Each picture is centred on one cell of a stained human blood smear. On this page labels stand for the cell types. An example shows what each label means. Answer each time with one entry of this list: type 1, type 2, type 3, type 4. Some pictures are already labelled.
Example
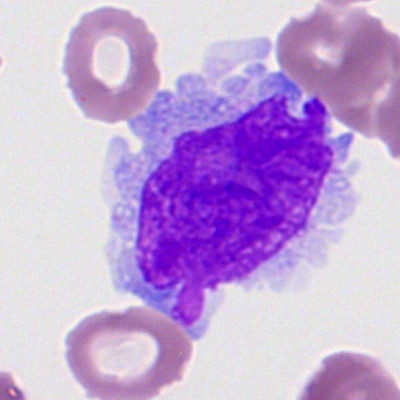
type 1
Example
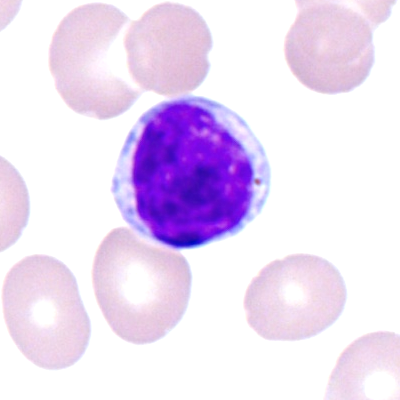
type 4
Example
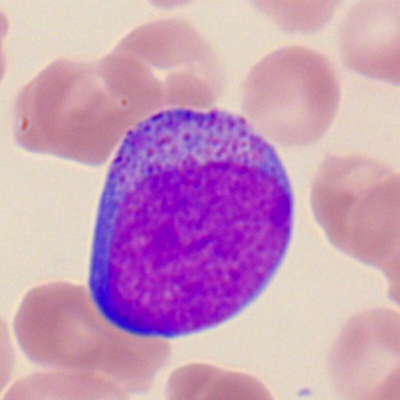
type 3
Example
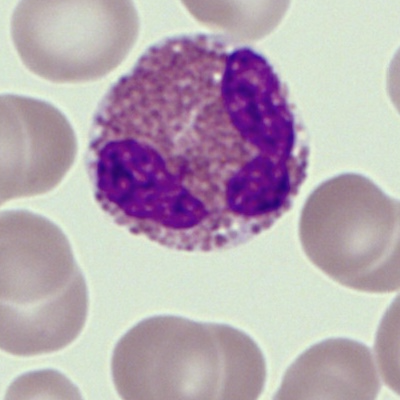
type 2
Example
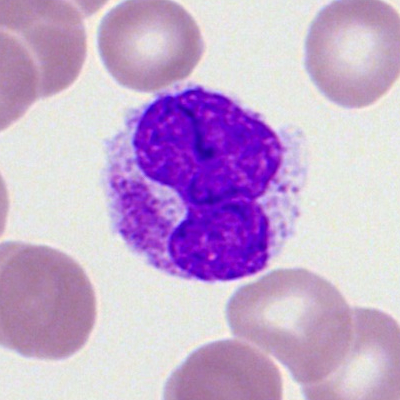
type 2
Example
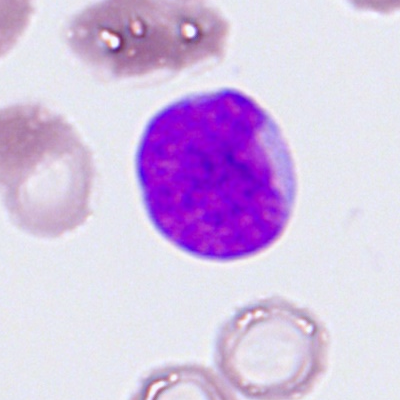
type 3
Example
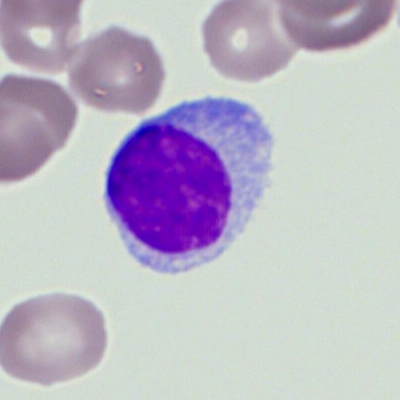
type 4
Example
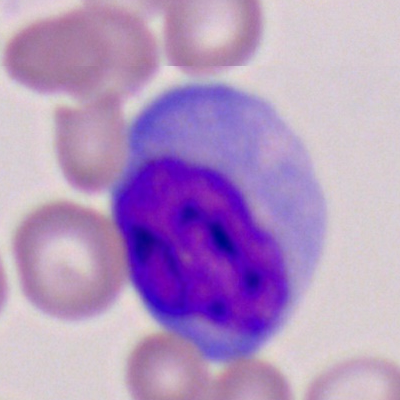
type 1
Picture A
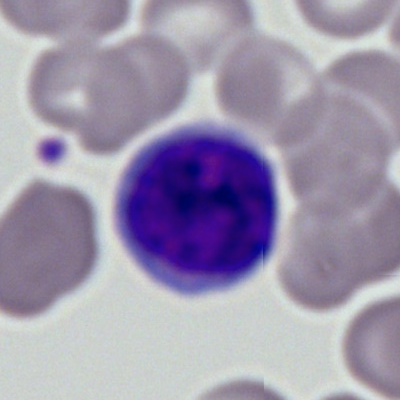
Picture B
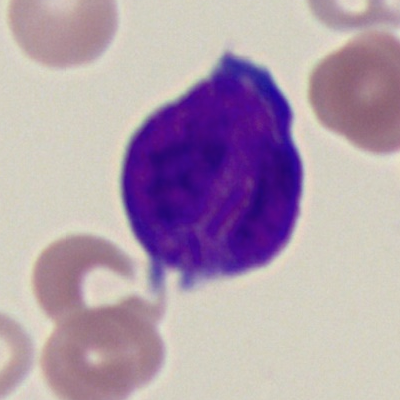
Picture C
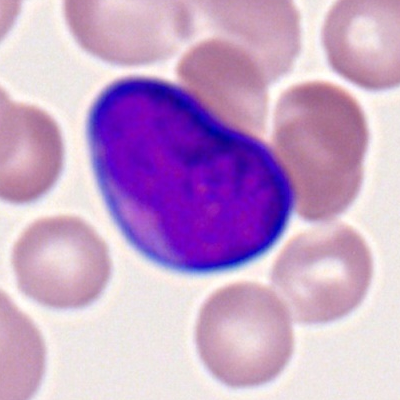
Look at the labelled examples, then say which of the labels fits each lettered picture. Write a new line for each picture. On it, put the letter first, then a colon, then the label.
A: type 4
B: type 3
C: type 3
